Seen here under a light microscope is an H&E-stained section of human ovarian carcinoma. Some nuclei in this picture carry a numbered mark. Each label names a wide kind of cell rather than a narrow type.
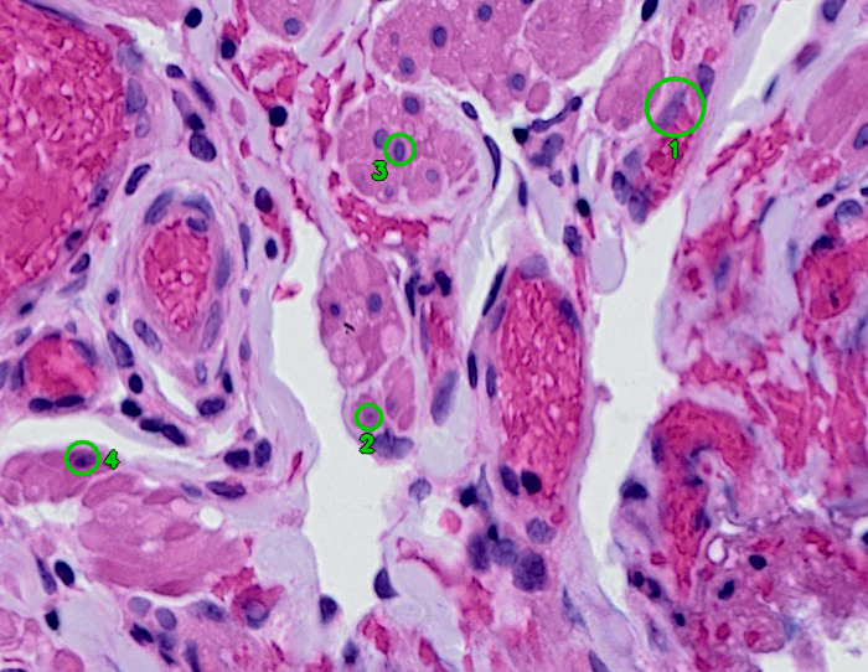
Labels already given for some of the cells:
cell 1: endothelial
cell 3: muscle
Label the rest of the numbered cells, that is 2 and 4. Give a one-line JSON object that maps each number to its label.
{"2": "muscle", "4": "muscle"}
